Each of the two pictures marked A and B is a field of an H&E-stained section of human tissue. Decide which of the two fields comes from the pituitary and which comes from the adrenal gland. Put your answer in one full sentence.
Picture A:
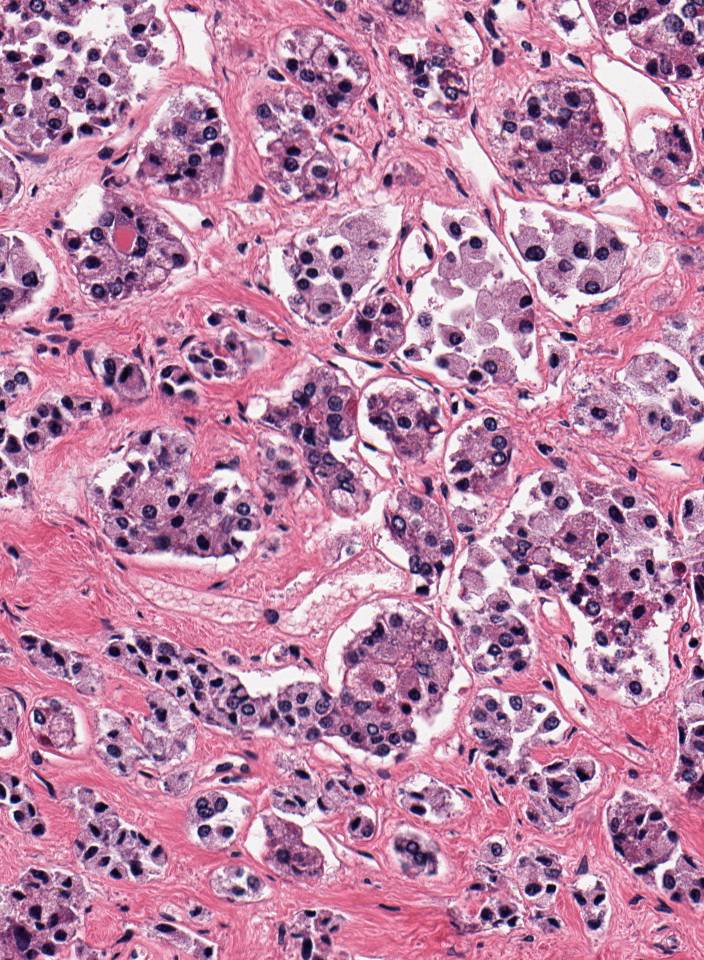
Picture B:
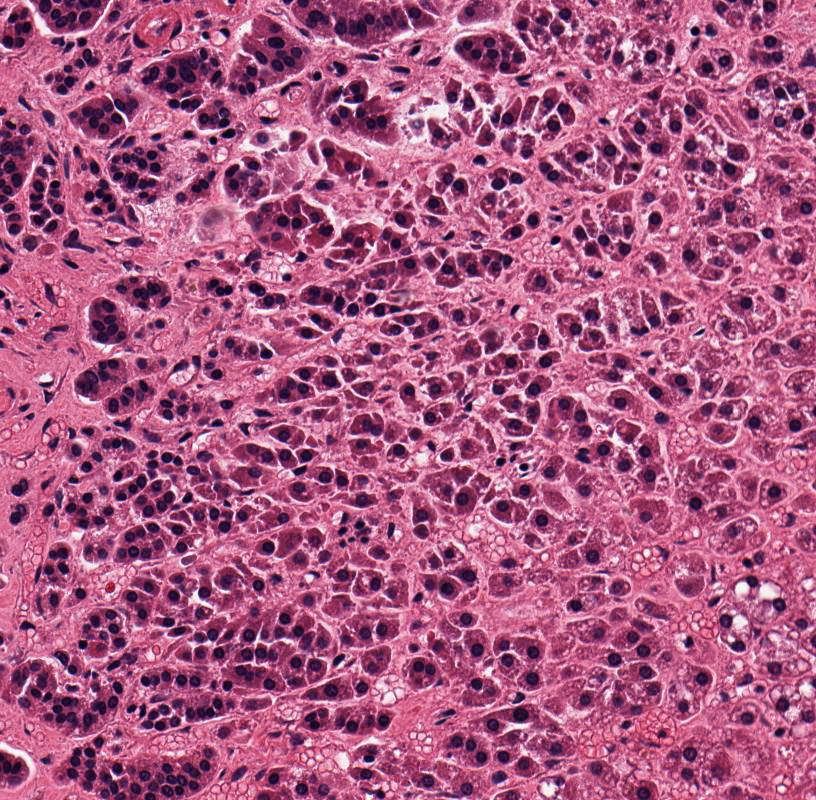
Picture A comes from the pituitary and picture B comes from the adrenal gland.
